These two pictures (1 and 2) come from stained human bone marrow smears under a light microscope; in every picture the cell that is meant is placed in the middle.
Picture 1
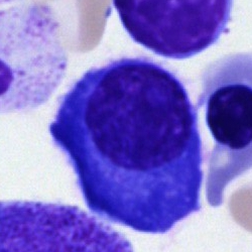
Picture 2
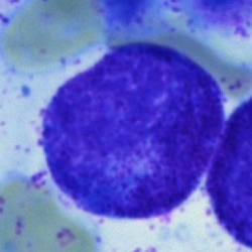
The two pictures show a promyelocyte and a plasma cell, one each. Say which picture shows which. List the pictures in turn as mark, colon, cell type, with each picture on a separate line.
1: plasma cell
2: promyelocyte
